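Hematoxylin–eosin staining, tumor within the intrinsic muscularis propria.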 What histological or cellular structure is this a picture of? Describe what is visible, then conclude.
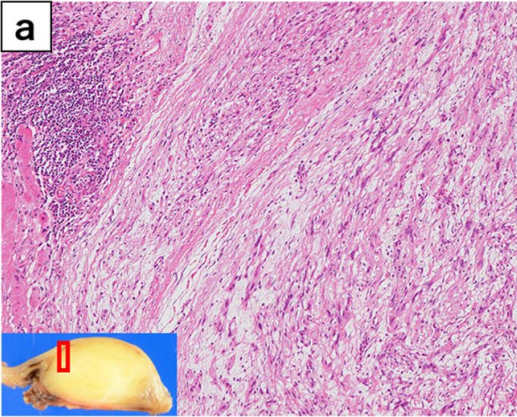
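A dense cluster of small, round, dark-blue nuclei lies at the upper left edge. This cluster sits at the border of the paler spindle-cell tissue. The answer: lymphoid cuff.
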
